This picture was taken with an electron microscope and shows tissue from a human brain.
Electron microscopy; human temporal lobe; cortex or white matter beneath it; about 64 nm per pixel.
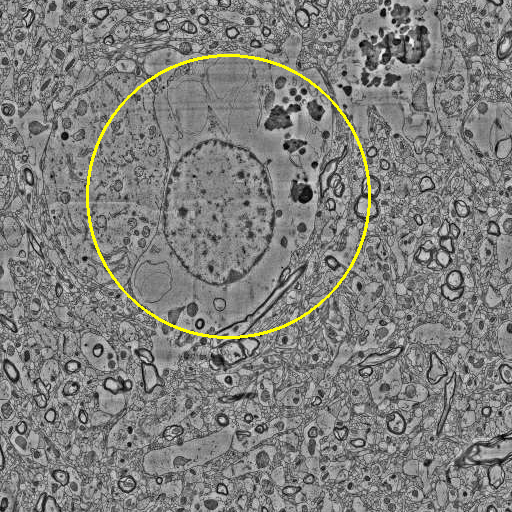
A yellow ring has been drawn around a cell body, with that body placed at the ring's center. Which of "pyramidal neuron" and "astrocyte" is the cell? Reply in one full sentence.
In this picture, an astrocyte is the cell at the center of the yellow ring.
